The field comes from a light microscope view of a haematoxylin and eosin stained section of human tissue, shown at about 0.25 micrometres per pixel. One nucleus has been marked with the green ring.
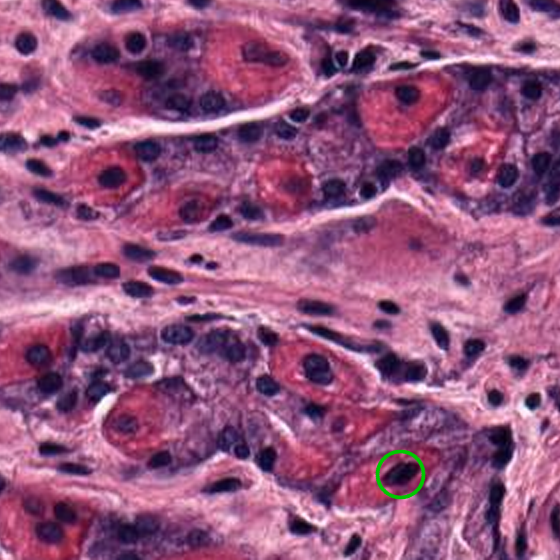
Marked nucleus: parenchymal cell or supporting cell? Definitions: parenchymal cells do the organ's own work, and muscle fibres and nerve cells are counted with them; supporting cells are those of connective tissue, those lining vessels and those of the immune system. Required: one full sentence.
The marked nucleus is part of the parenchyma, belonging to a parietal cell.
